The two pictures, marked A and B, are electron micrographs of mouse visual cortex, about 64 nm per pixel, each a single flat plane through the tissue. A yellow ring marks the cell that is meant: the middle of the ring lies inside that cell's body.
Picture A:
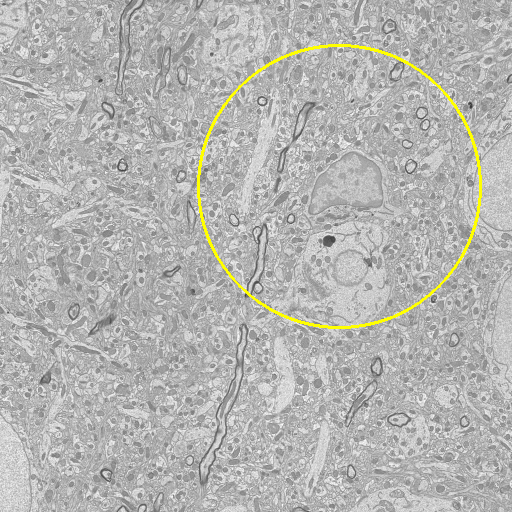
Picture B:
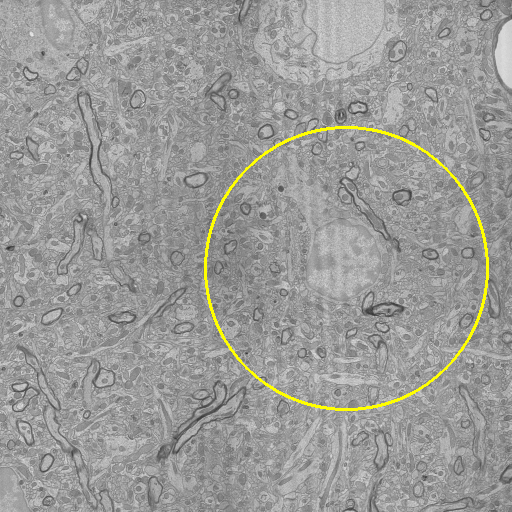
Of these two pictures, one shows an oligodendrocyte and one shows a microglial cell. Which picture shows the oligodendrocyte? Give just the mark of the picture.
B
